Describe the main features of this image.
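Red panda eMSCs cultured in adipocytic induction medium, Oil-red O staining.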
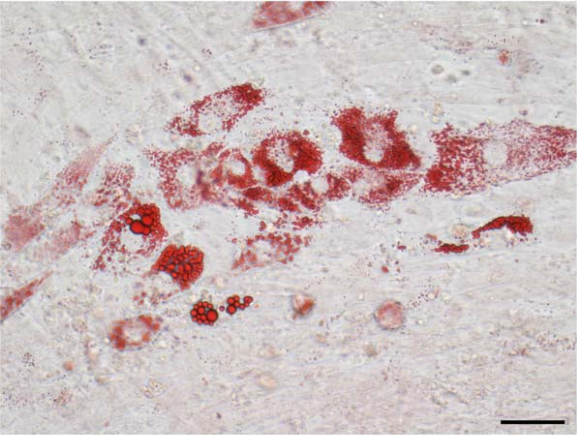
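The red material fills the cytoplasm as many fine droplets, leaving paler round areas where nuclei lie. A few cells contain clusters of larger, sharply outlined round red globules. Around them lie flat, pale, unstained cells whose outlines are faint.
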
